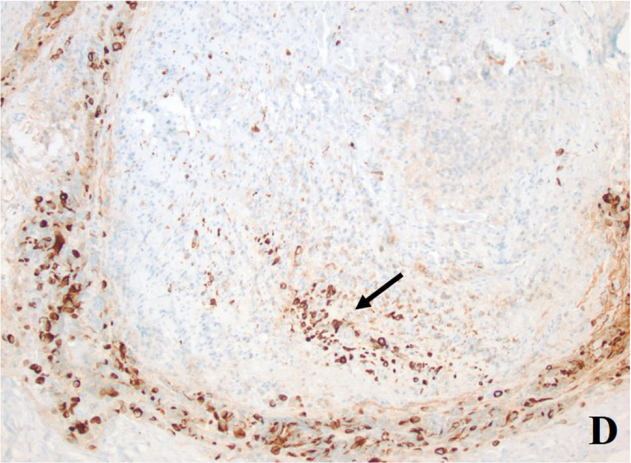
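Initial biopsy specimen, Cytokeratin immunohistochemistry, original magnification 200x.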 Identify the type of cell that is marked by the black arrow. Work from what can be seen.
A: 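A group of infiltrating cells. The arrow points to a cluster of brown-stained cells inside the pale central area. The cluster is separated from the outer brown ring.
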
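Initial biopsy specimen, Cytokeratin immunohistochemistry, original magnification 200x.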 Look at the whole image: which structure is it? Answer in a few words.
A: Carcinoma encircling the nerve fascicle.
